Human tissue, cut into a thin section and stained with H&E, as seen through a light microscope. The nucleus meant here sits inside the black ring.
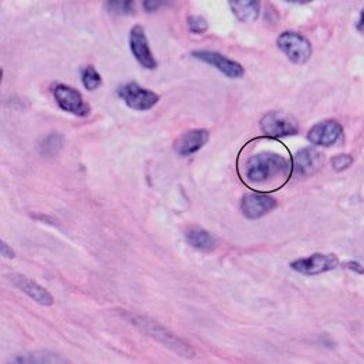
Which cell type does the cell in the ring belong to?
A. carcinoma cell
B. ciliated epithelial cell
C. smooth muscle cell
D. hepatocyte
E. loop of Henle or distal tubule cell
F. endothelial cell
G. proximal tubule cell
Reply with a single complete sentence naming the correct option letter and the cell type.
Under option F, the cell in the ring is an endothelial cell, which is the correct identification.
